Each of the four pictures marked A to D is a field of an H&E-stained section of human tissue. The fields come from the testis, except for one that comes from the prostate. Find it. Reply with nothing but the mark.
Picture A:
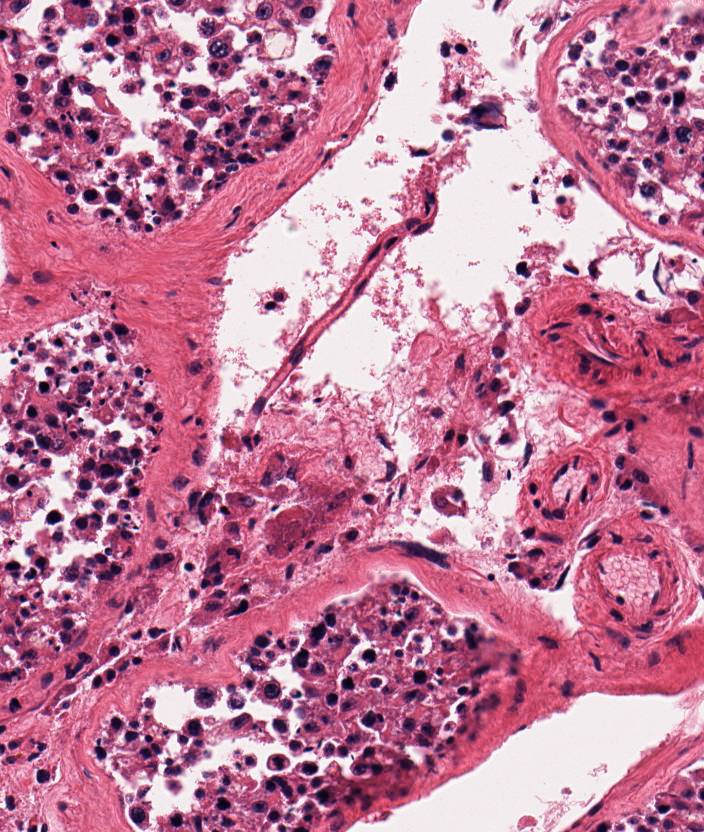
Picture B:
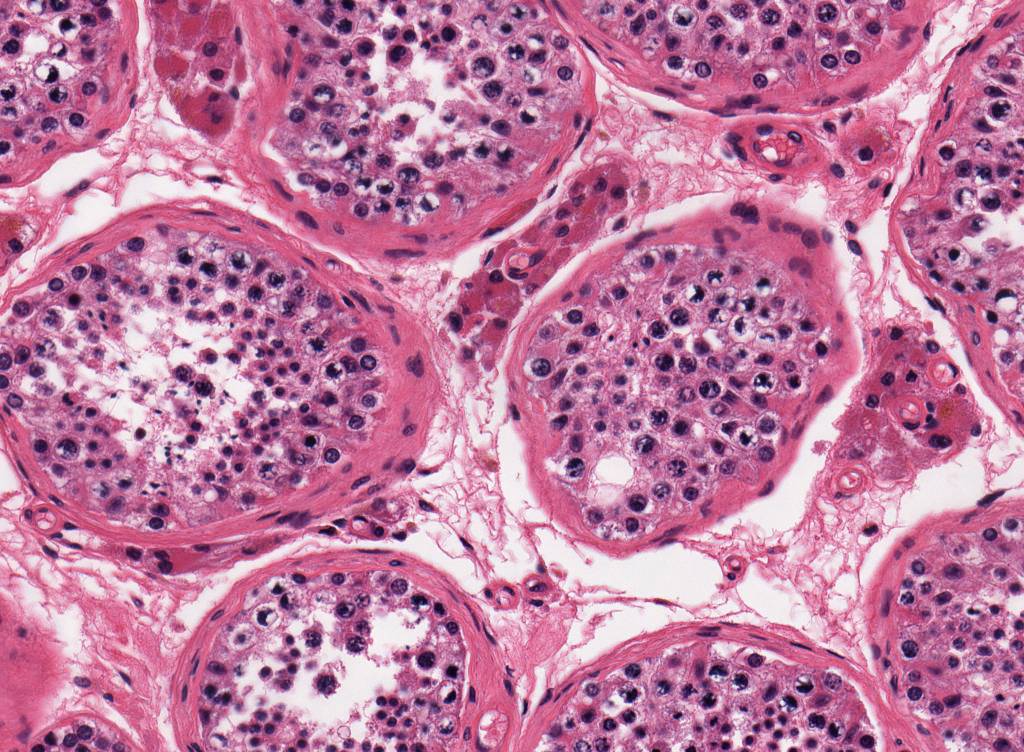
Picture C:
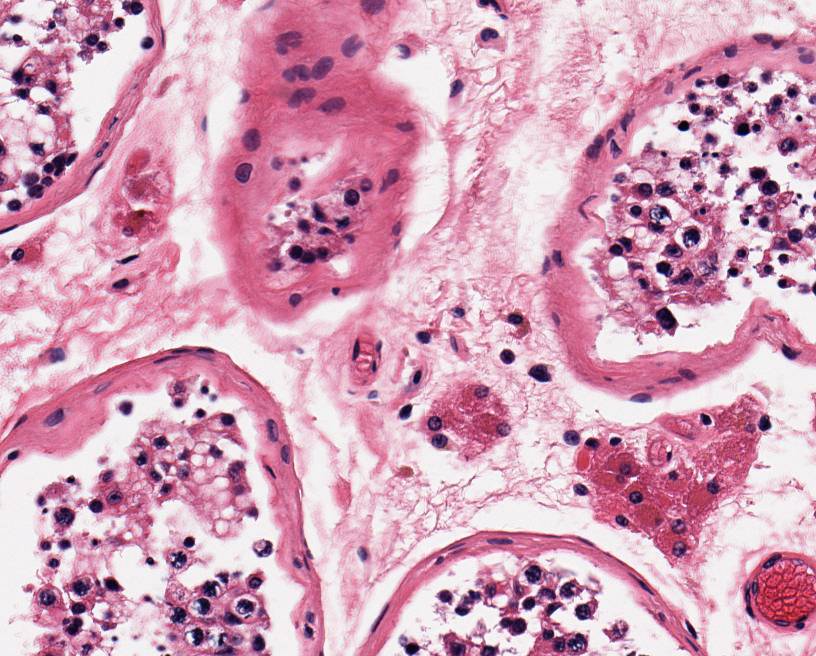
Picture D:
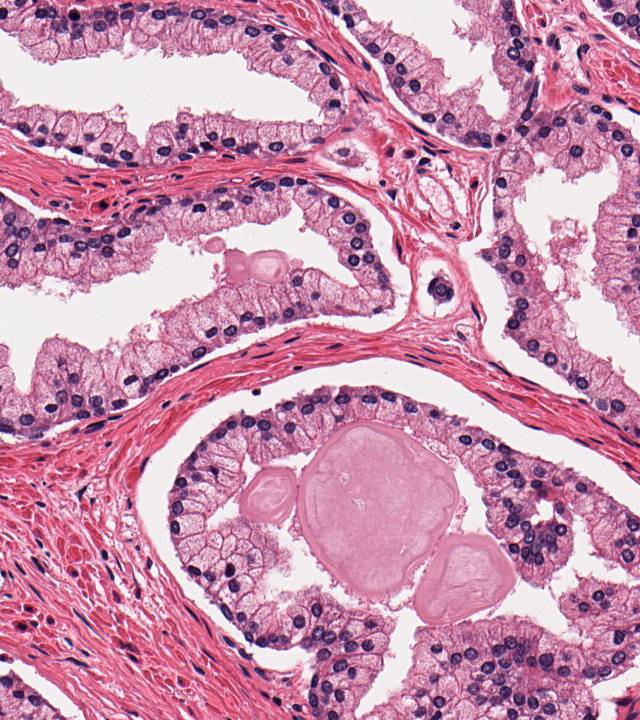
D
